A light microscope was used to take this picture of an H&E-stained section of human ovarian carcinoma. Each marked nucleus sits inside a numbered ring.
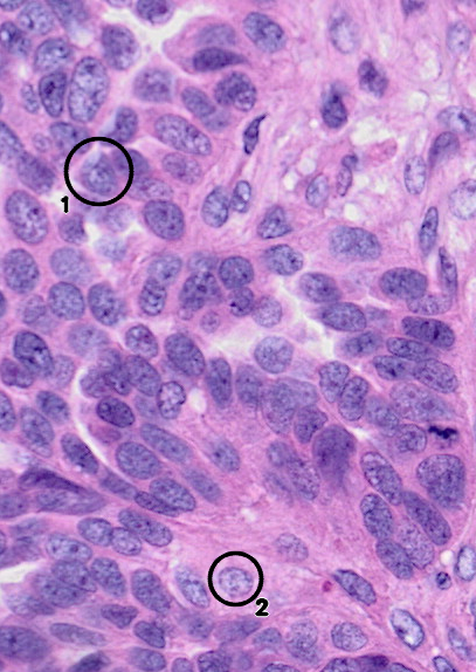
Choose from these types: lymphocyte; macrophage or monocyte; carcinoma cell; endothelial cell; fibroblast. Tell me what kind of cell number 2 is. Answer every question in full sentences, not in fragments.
Among the marked nuclei, number 2 belongs to a fibroblast.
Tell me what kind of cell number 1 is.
The cell pointed out by number 1 is a carcinoma cell.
